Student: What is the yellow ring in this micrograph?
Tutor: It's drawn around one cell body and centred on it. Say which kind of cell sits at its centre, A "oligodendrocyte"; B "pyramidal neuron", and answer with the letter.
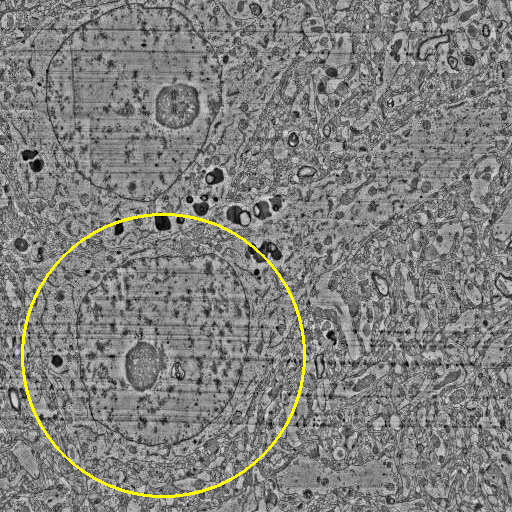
B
